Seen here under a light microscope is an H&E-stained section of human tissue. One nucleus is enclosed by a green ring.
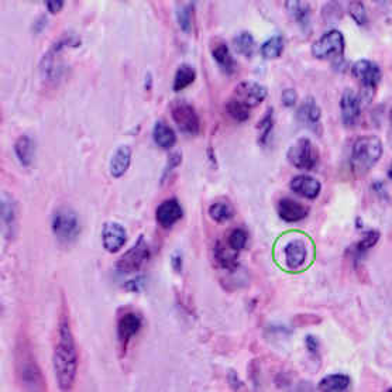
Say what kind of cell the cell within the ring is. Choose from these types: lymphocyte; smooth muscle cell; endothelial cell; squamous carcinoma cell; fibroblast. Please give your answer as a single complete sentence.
As classified here, the cell within the ring is a lymphocyte.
